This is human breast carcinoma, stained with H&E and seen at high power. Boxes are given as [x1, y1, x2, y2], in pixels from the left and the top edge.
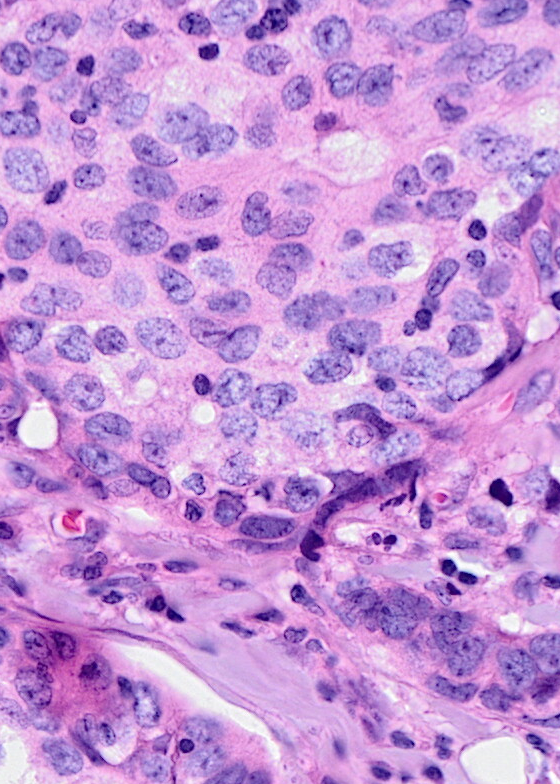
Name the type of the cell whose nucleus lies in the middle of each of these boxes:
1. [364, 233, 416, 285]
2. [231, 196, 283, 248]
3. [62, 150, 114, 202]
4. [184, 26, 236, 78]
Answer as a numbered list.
1. carcinoma cell
2. carcinoma cell
3. carcinoma cell
4. lymphocyte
